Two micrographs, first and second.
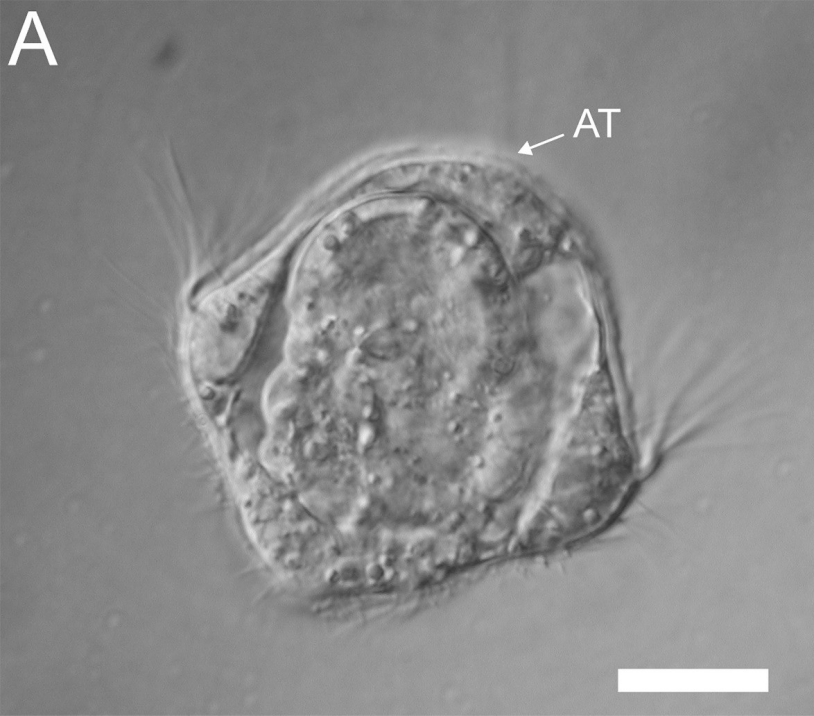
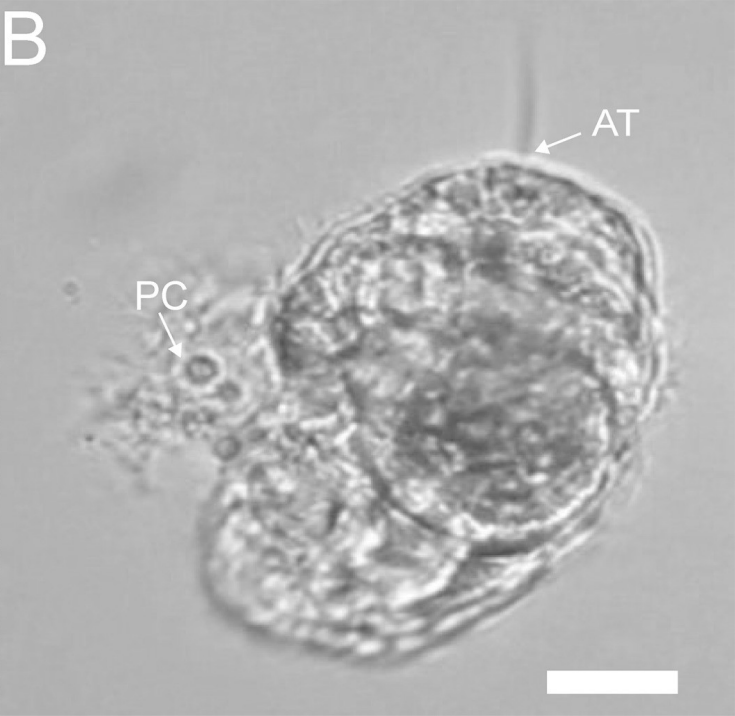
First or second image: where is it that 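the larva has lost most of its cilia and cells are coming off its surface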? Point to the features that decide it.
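Second image: the body surface is largely bare, with a cloud of detached cells and fragments at the left side. First image: long cilia project in tufts from the body margin and the outline is intact.
Conclusion: the second image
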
